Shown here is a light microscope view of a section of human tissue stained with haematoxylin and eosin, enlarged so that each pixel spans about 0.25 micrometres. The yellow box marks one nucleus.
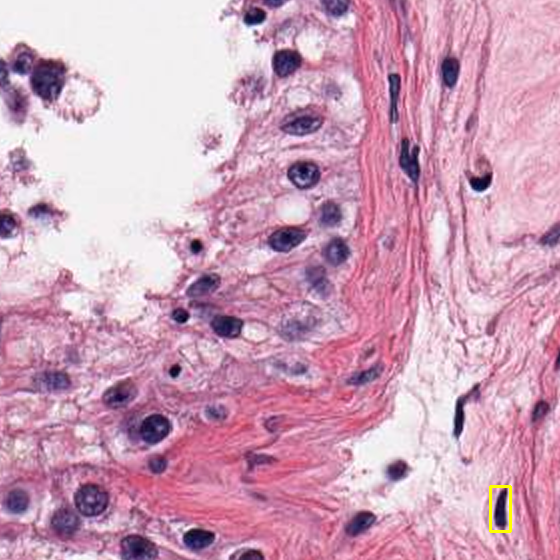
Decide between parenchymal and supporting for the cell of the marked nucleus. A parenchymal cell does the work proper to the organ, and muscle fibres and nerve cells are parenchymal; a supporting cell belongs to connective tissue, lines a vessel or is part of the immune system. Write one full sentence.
In this field of view, a supporting cell owns the marked nucleus.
